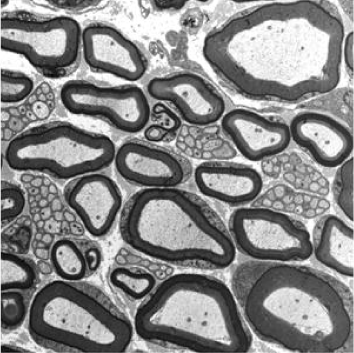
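This electron micrograph shows a transversely cut peripheral nerve whose myelinated axons look preserved. Large and medium axons with pale, even axoplasm fill most of the field, each surrounded by a continuous dark myelin ring of fairly uniform thickness; the profiles are rounded to polygonal and lie close together. In the spaces between them are clusters of small, pale, round profiles without thick myelin. Little debris is seen, and the sheaths are not folded or collapsed.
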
